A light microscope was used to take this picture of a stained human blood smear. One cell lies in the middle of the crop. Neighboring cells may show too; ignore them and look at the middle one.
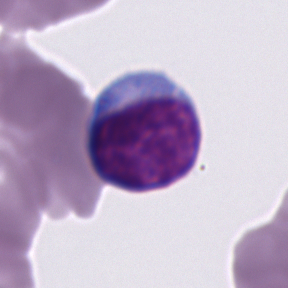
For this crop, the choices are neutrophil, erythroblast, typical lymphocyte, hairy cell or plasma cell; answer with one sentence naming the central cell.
The middle cell in this particular crop is a typical lymphocyte.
